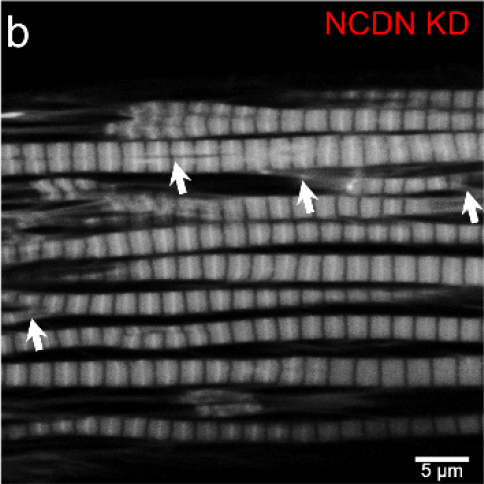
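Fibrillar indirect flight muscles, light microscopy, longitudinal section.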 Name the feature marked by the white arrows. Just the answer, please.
Branching structures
